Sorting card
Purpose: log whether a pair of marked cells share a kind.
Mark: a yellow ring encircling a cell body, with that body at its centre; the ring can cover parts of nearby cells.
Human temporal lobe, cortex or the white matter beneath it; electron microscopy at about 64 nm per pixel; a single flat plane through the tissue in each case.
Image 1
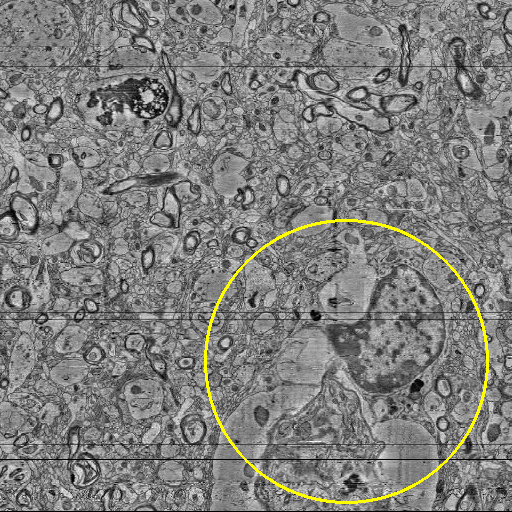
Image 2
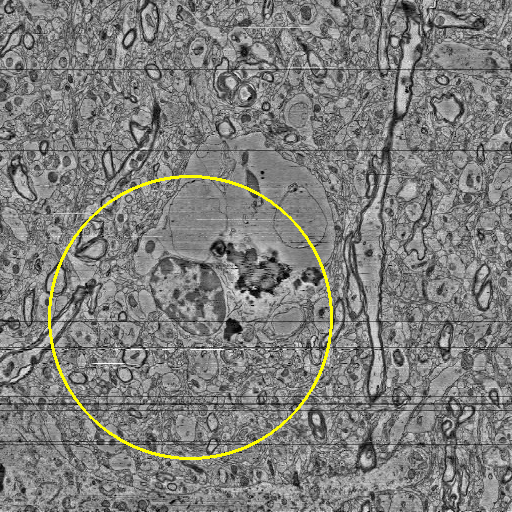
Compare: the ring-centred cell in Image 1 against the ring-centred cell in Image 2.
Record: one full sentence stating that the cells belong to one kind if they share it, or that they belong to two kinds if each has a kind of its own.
Across Images 1 and 2, the two ring-centred cells belong to one kind.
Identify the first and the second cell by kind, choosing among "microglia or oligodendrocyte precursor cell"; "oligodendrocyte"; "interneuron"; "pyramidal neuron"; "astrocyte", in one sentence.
Each cell, in the first picture and the second, is a microglial cell or oligodendrocyte precursor cell.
